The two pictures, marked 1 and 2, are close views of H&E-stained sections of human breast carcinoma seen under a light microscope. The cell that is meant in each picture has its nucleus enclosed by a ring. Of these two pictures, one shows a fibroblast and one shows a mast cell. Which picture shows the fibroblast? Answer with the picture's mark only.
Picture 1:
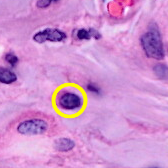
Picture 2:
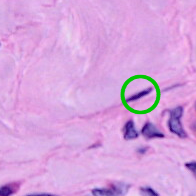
2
